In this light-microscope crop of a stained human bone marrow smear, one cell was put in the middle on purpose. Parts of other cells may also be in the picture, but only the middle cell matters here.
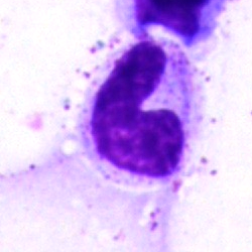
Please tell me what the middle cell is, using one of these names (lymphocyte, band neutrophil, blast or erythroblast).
band neutrophil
